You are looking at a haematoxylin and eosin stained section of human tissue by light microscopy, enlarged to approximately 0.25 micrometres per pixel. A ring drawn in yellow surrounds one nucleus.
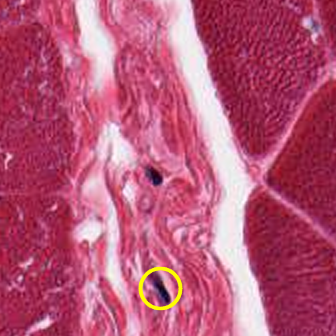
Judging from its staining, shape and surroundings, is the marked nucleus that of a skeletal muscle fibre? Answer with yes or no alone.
no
